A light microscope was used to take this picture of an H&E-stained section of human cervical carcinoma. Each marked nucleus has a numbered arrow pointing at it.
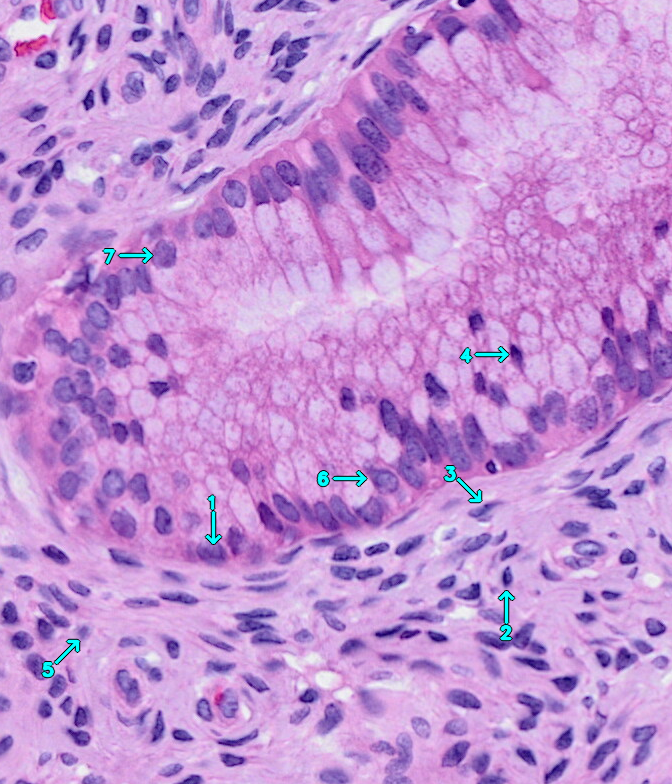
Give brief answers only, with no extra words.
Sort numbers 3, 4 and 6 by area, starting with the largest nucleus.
6, 3, 4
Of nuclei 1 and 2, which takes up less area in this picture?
2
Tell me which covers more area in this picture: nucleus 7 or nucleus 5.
7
